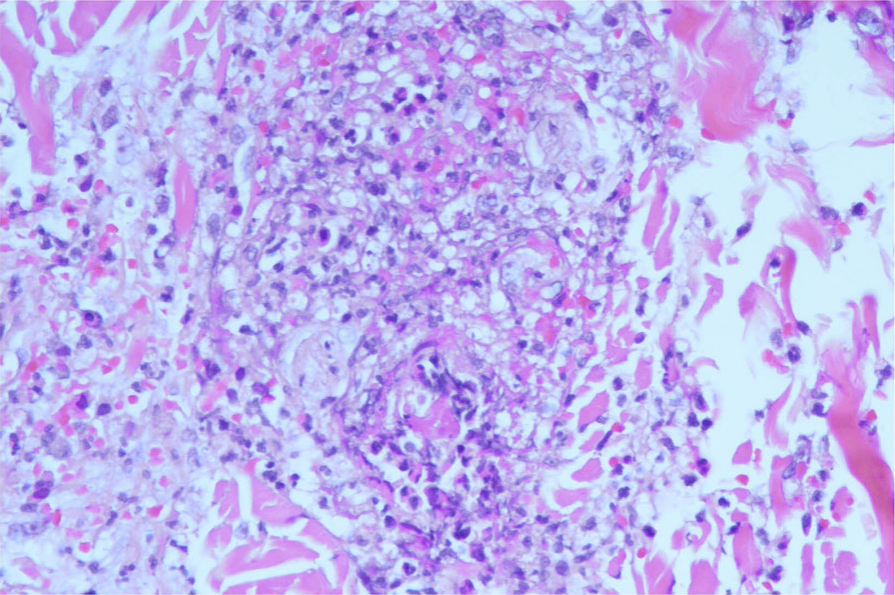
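This is dermis of the skin with a small venule surrounded by a dense inflammatory infiltrate, rich in neutrophils, lying between pink collagen bundles. Small bright red cells without nuclei are scattered through the tissue outside the vessels, while the collagen at the right edge is loosened and separated by clear spaces.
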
